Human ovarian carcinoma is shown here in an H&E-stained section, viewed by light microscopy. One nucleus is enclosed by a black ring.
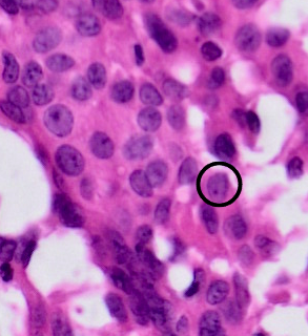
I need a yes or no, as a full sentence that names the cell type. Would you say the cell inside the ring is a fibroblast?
No, the cell inside the ring is classed as a carcinoma cell, not a fibroblast.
